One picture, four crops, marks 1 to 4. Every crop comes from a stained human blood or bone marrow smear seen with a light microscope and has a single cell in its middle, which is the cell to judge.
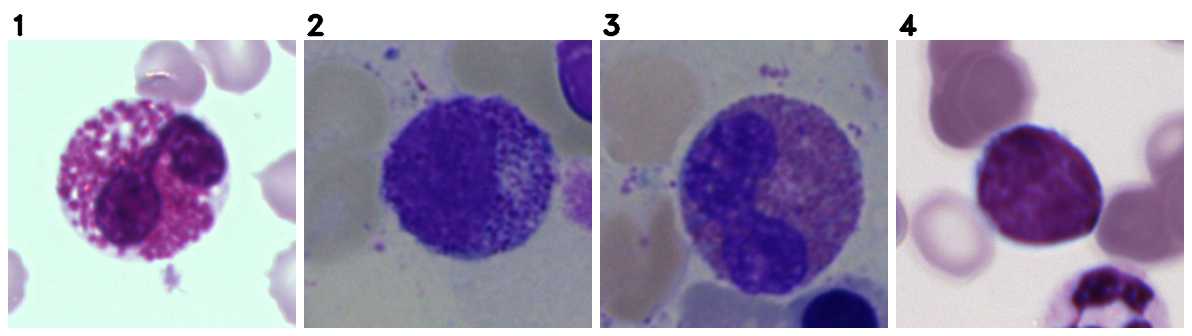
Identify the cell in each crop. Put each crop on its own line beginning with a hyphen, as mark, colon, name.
- 1: eosinophil
- 2: myelocyte
- 3: eosinophil
- 4: lymphocyte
